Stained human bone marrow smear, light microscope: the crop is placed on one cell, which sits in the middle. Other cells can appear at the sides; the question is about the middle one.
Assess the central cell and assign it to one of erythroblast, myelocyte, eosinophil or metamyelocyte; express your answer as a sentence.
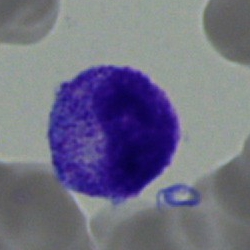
In the central position of this crop, the cell is a metamyelocyte.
